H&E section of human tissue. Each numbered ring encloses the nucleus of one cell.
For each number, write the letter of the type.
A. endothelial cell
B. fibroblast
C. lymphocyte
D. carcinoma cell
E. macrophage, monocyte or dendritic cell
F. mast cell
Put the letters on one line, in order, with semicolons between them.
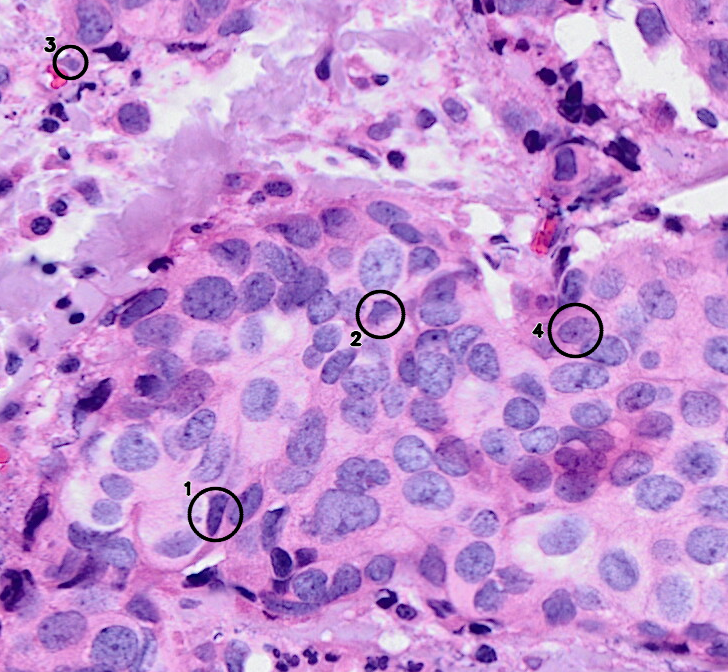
D; D; A; D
